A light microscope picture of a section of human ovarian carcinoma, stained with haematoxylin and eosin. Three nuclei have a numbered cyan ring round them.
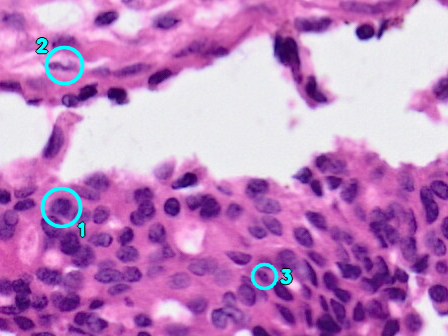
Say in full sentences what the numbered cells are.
Cells 1 and 3 are carcinoma cells. Cell 2 is a fibroblast.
